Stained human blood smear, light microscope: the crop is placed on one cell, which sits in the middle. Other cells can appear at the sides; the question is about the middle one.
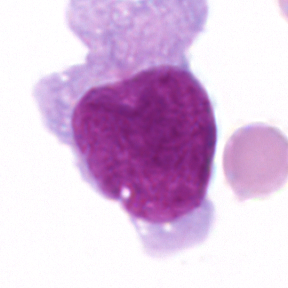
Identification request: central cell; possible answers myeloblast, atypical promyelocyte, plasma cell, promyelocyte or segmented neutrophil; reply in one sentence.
The cell occupying the middle of the crop is an atypical promyelocyte.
